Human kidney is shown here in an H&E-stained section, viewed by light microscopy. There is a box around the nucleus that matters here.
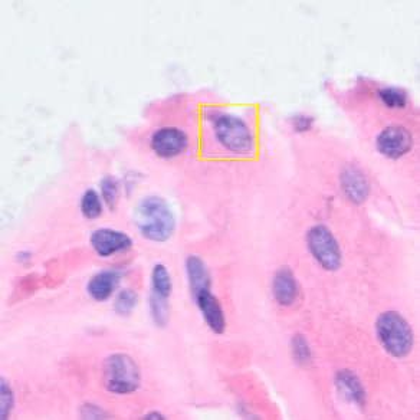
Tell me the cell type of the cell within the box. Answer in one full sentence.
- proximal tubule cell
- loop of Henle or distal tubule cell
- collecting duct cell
In the stained section, the cell within the box is a loop of Henle or distal tubule cell.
